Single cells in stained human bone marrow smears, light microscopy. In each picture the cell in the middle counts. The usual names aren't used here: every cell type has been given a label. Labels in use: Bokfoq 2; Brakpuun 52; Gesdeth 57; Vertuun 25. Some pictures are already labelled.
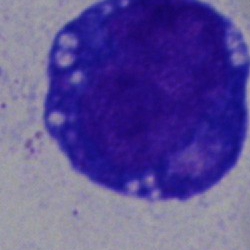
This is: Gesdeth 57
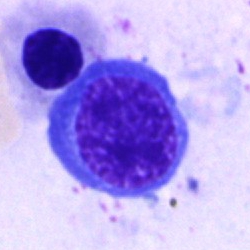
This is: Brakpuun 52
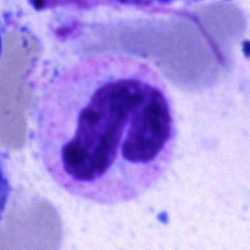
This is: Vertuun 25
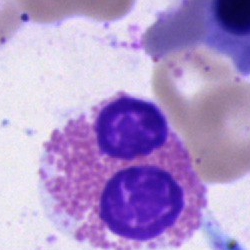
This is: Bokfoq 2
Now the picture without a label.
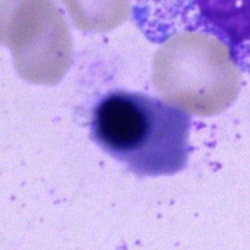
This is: Brakpuun 52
